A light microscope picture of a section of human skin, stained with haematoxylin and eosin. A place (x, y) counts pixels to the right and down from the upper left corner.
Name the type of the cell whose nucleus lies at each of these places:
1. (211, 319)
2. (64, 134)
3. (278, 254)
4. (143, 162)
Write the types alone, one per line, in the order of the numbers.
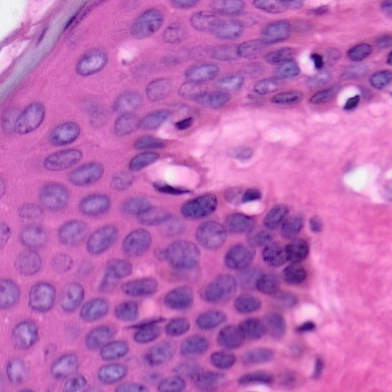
basal keratinocyte
suprabasal keratinocyte
basal keratinocyte
basal keratinocyte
